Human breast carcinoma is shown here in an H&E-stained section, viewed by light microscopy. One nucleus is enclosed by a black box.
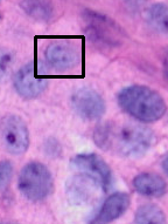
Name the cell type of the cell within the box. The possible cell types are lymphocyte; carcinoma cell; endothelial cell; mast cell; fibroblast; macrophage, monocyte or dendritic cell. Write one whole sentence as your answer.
By cell type, the cell within the box is a carcinoma cell.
